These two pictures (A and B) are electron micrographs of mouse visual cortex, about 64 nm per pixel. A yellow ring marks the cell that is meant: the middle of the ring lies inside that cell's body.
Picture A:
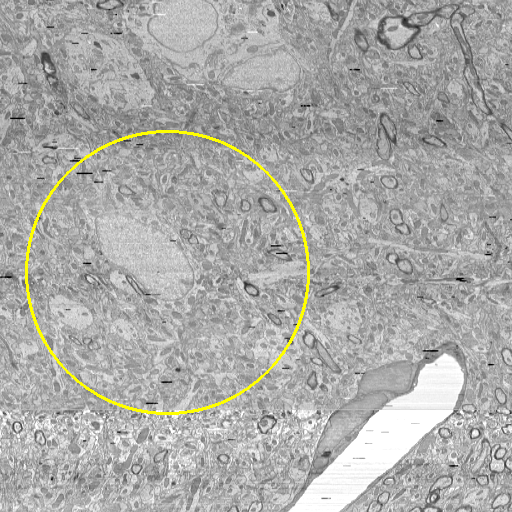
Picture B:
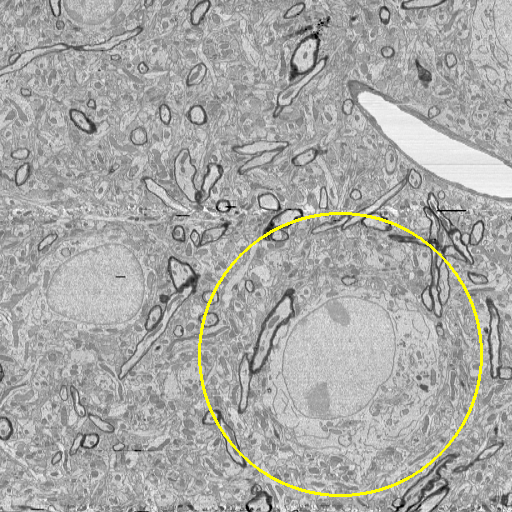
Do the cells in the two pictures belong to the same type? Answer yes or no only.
no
